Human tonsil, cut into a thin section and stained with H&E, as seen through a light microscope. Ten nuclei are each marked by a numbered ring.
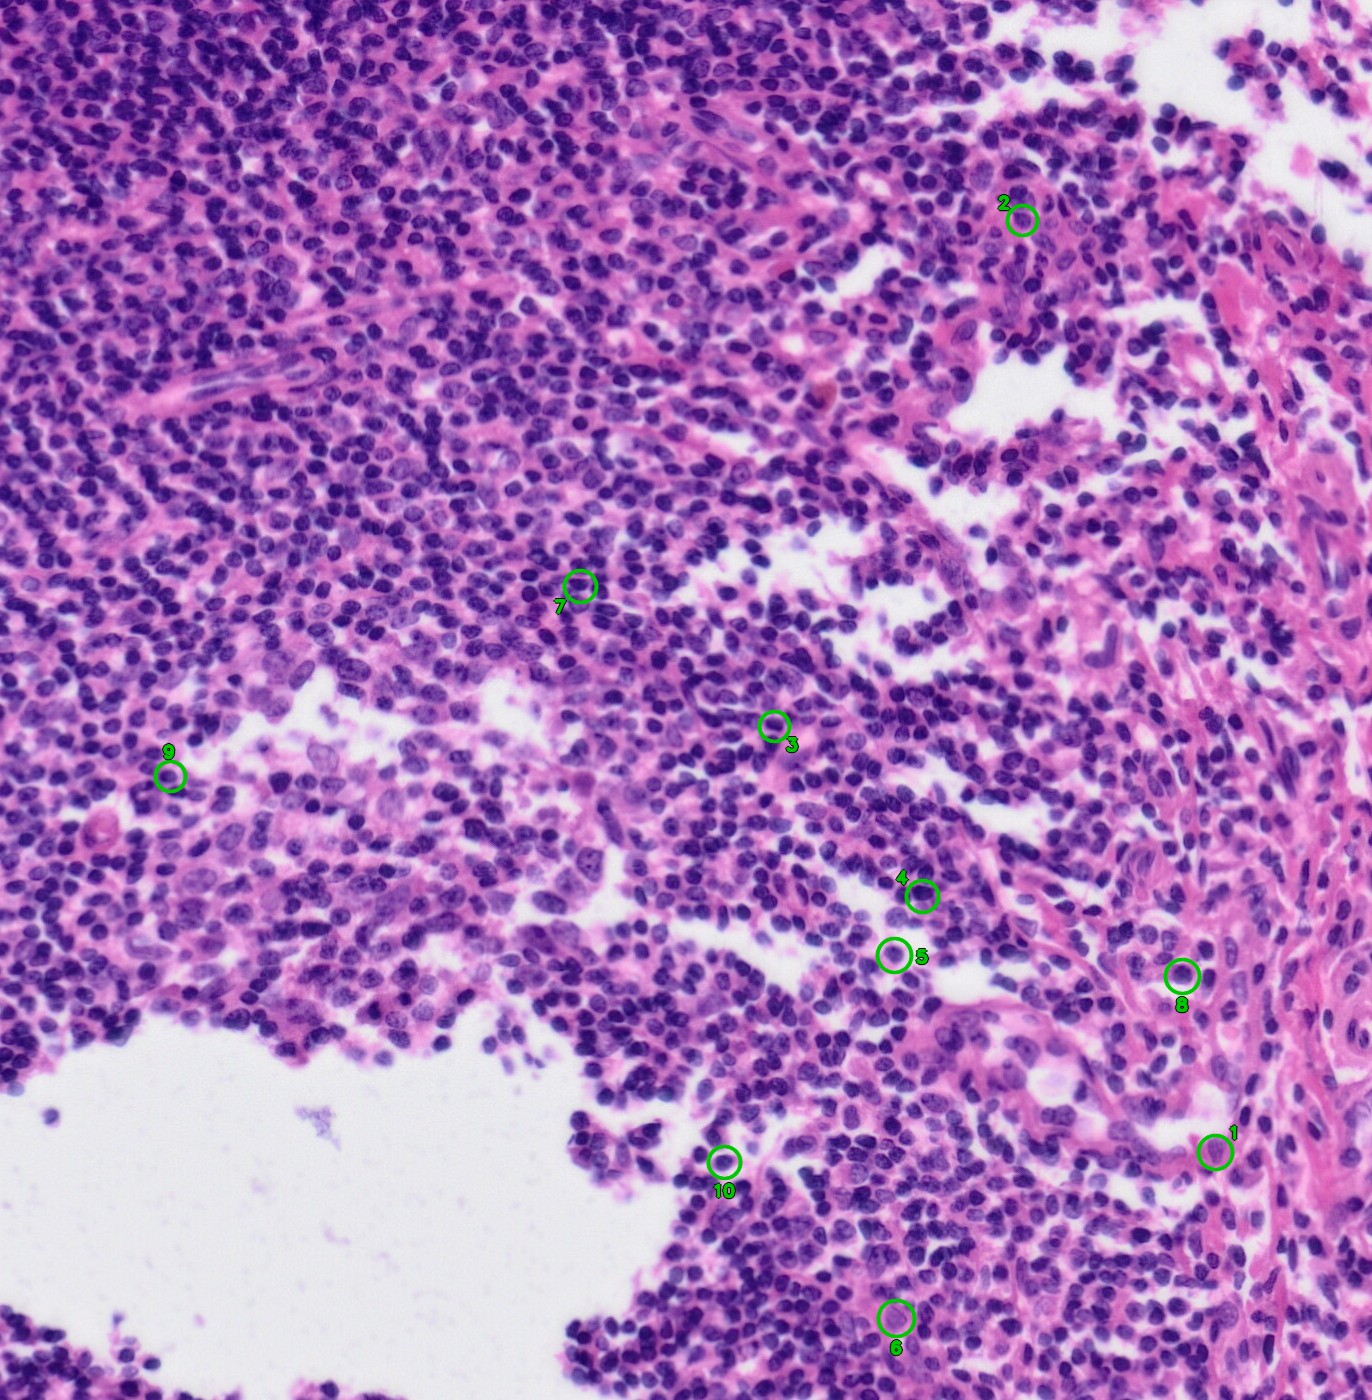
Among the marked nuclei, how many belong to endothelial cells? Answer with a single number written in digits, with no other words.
3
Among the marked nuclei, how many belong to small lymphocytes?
6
